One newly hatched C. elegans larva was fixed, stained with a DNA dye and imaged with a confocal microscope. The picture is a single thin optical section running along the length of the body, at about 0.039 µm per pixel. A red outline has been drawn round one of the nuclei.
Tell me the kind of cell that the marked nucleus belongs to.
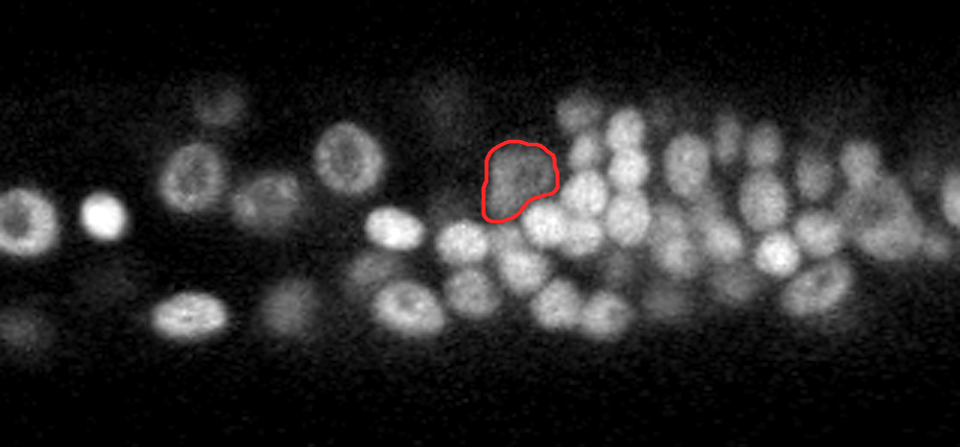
seam cell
